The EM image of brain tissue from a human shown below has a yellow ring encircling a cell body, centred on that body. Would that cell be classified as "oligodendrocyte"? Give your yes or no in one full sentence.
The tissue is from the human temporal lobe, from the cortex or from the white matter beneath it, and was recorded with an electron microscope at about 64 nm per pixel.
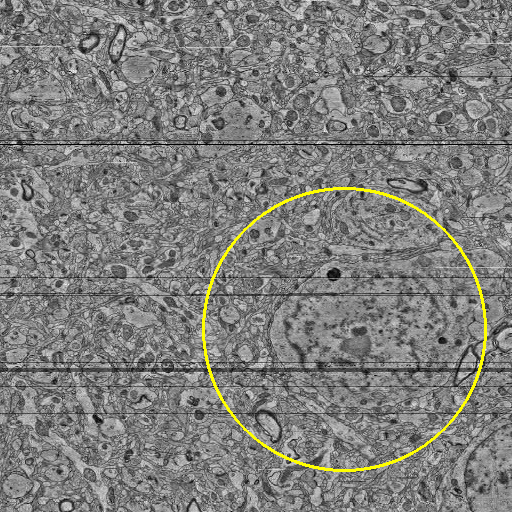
No, the cell at the centre of the ring in the picture falls in another class.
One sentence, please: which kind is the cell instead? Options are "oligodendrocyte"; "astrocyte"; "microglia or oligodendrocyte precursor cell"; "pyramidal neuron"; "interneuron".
Instead, the cell inside the ring is an interneuron.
